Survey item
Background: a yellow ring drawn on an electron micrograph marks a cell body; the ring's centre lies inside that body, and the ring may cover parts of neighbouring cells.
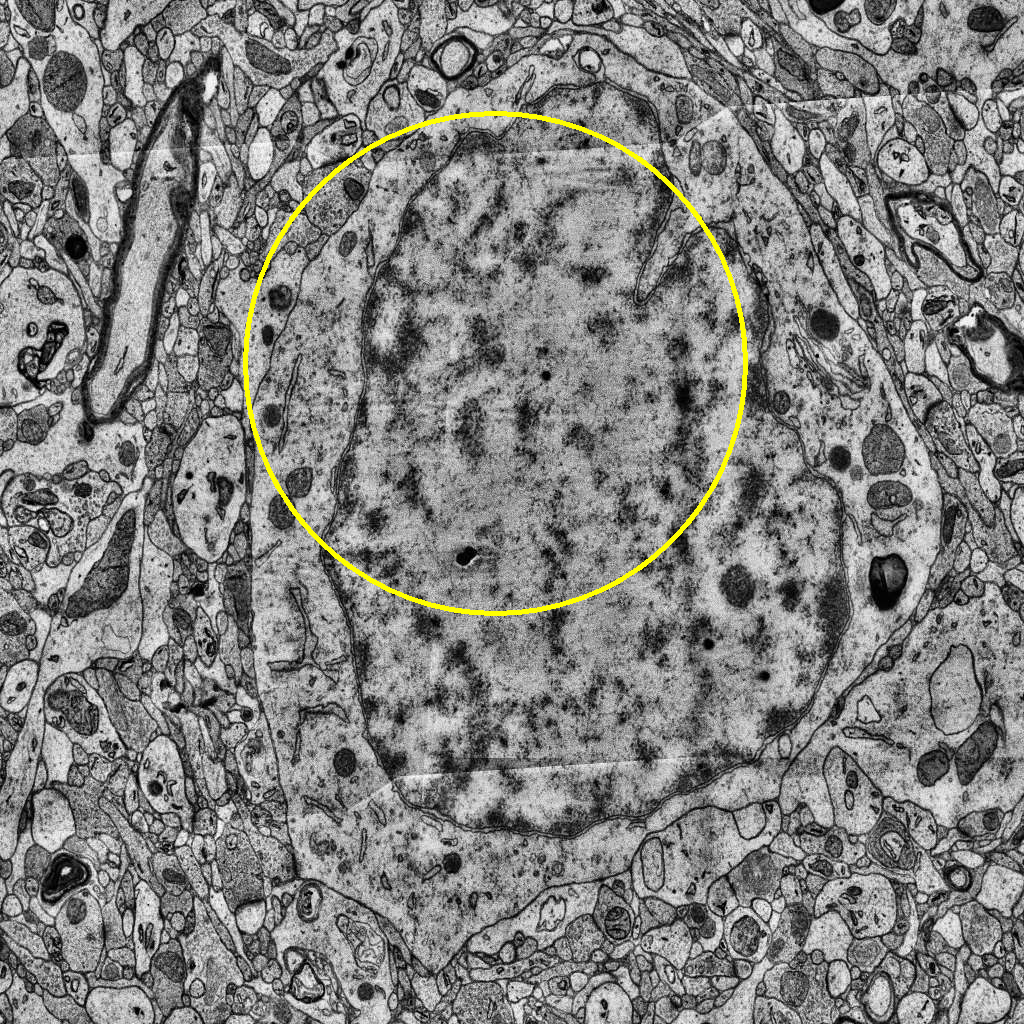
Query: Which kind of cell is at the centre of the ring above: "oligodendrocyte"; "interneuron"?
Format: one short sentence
The cell in the middle of the ring is an interneuron.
